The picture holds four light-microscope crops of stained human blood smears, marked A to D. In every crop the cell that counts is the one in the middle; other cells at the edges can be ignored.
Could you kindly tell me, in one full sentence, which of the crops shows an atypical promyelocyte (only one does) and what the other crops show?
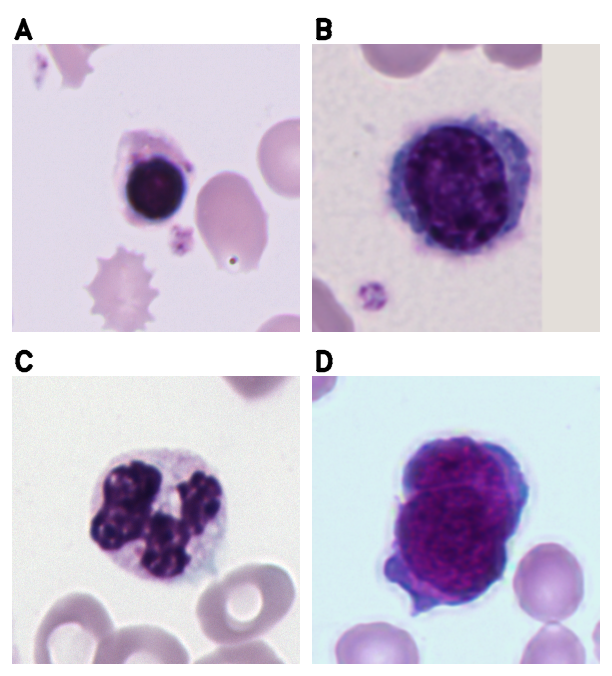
As for the set, crop D shows an atypical promyelocyte, while crop A is a normoblast, crop B is a plasma cell and crop C is a segmented neutrophil.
